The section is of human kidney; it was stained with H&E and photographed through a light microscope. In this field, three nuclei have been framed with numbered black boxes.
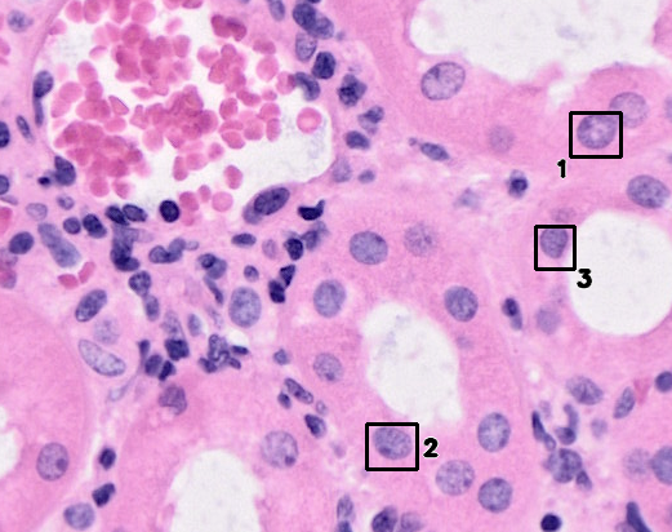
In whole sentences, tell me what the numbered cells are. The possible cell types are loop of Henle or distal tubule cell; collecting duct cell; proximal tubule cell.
Cell 1 is a proximal tubule cell, cell 2 is a loop of Henle or distal tubule cell and cell 3 is a loop of Henle or distal tubule cell.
